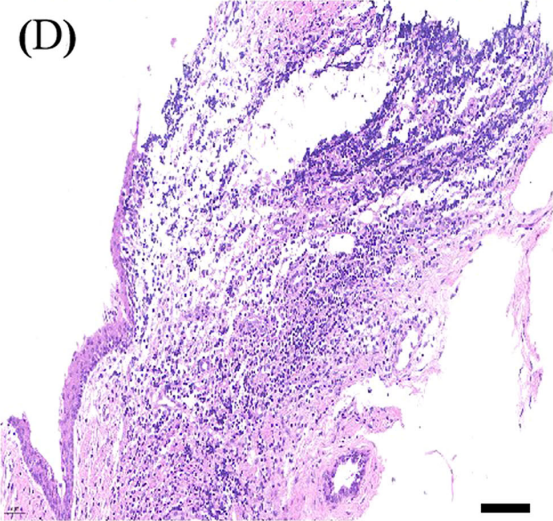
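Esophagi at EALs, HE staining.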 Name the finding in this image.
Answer: Dispersive infiltration of inflammatory cells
